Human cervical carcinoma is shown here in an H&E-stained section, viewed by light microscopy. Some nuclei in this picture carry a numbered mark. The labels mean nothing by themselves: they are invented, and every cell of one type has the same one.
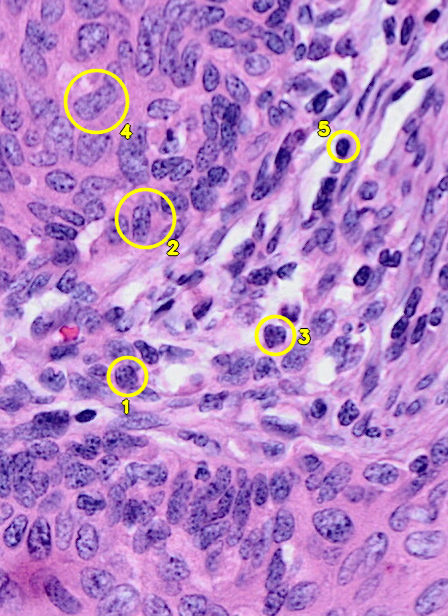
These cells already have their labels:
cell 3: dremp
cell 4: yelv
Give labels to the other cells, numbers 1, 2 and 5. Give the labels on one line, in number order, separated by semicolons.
dremp; yelv; dremp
